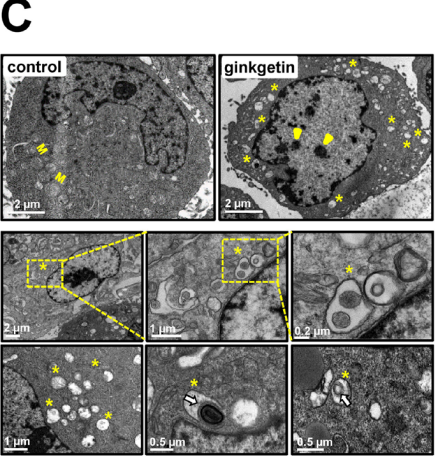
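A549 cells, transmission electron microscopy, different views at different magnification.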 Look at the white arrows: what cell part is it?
Organelle remnants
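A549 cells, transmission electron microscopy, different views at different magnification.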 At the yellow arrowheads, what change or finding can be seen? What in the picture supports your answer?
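The arrowheads point to dark, dense clumps inside the nucleus. The dense chromatin contrasts with the paler nucleoplasm. The answer: chromosome condensation.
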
